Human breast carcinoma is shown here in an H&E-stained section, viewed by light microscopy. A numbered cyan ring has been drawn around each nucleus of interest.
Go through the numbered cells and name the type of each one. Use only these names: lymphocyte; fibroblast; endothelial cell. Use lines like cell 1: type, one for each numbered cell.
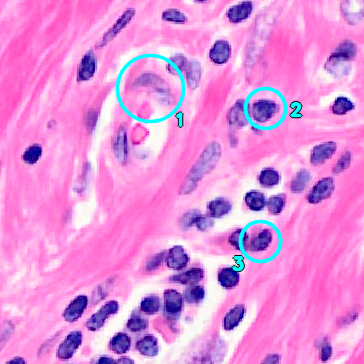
cell 1: endothelial cell
cell 2: lymphocyte
cell 3: lymphocyte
